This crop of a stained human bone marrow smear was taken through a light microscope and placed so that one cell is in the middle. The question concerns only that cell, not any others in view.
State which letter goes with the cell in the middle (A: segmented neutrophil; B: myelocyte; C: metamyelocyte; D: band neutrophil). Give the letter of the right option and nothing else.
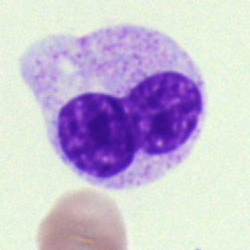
D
